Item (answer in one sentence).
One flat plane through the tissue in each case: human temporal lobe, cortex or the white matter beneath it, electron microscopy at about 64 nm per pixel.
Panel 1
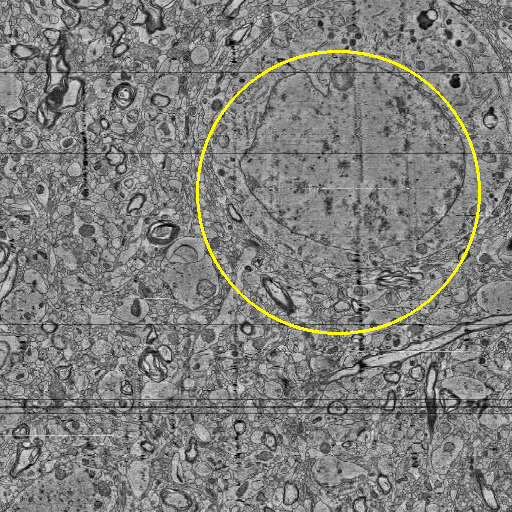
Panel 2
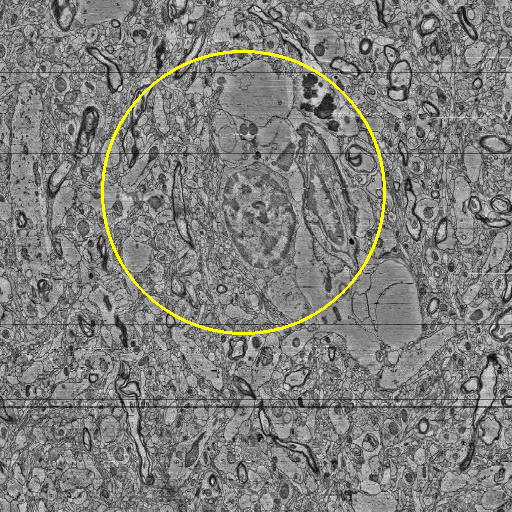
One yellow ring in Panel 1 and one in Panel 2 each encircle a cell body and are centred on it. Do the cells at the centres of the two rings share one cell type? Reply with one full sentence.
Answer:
No, Panel 1 and Panel 2 show cells of two types at the centres of their rings.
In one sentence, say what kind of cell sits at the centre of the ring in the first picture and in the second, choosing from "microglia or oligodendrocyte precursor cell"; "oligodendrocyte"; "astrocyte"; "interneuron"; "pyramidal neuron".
The first picture's ringed cell is a pyramidal neuron, while the second picture's is an oligodendrocyte.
